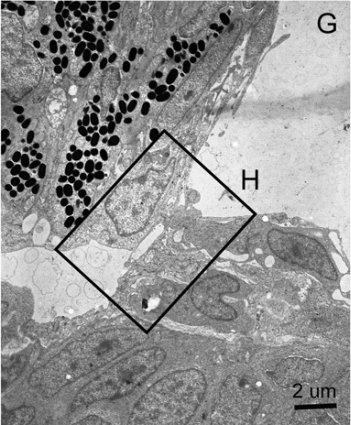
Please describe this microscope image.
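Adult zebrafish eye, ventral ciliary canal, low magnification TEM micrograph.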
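Flattened cells with elongated, irregular nuclei form a thin layer bordering a pale open space. Above them lies a cluster of cells packed with dense black oval pigment granules. Below, further cells with oval nuclei and granular cytoplasm fill the lower part of the field.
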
